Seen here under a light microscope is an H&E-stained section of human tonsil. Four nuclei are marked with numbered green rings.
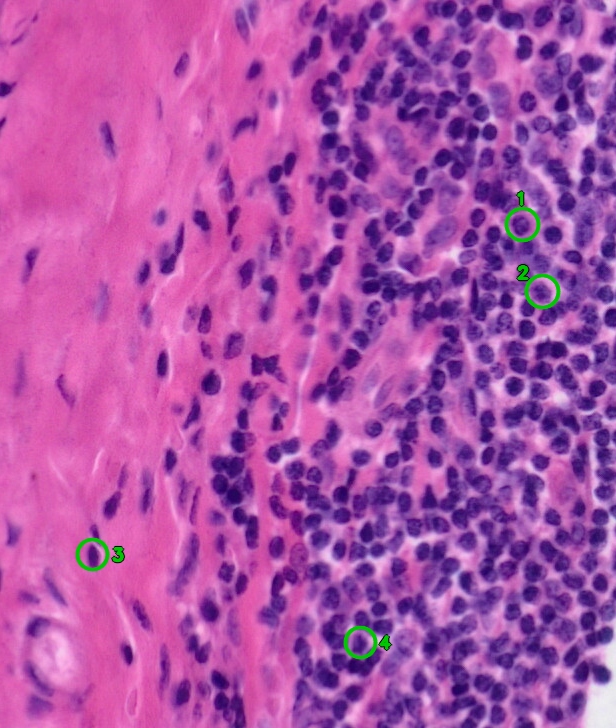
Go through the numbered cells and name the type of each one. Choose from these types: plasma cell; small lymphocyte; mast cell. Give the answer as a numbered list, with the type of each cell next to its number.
1. plasma cell
2. small lymphocyte
3. mast cell
4. small lymphocyte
